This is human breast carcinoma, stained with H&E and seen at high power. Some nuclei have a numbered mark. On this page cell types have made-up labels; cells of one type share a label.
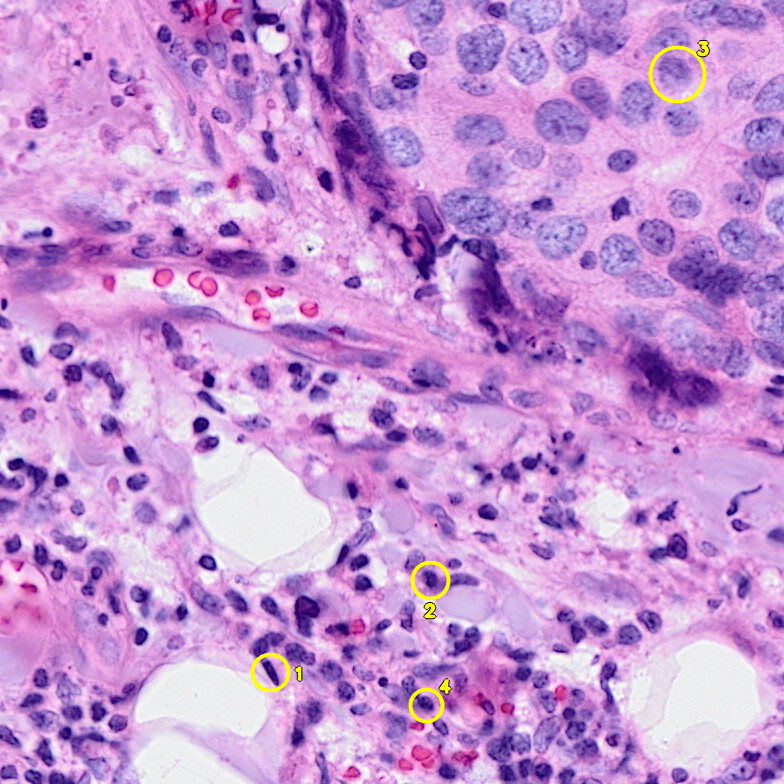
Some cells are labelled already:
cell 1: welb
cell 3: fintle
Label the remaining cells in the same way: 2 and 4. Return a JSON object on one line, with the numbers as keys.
{"2": "welb", "4": "welb"}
